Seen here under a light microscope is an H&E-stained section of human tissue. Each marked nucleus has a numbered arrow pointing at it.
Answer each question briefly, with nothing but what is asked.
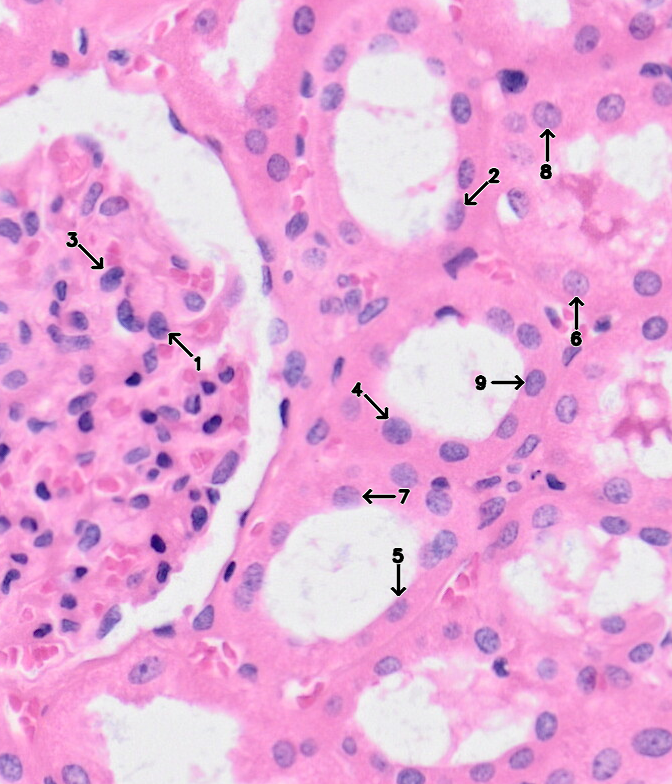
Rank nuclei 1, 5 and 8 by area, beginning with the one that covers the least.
5, 1, 8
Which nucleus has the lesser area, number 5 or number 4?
5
